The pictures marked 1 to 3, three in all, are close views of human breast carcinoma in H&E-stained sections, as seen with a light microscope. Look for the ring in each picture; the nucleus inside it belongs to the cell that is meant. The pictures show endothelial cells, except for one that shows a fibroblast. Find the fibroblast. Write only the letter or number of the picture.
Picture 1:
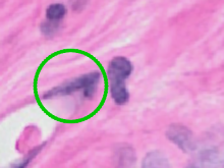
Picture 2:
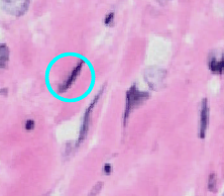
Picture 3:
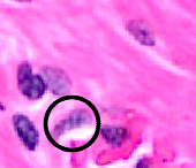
2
